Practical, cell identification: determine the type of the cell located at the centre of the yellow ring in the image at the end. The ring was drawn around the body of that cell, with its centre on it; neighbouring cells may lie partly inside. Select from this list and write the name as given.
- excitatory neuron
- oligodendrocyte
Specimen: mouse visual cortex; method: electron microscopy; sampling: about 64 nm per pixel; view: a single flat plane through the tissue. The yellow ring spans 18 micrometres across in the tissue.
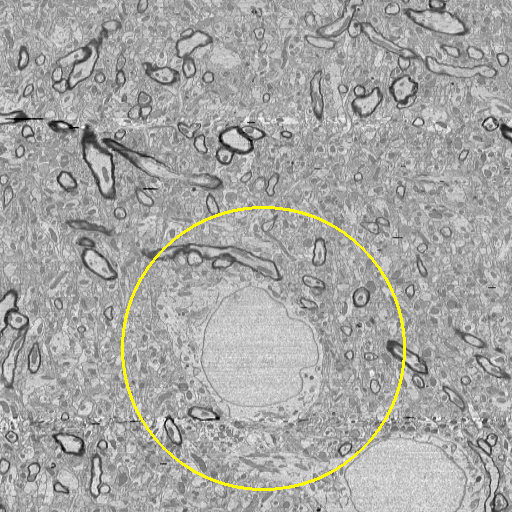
excitatory neuron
